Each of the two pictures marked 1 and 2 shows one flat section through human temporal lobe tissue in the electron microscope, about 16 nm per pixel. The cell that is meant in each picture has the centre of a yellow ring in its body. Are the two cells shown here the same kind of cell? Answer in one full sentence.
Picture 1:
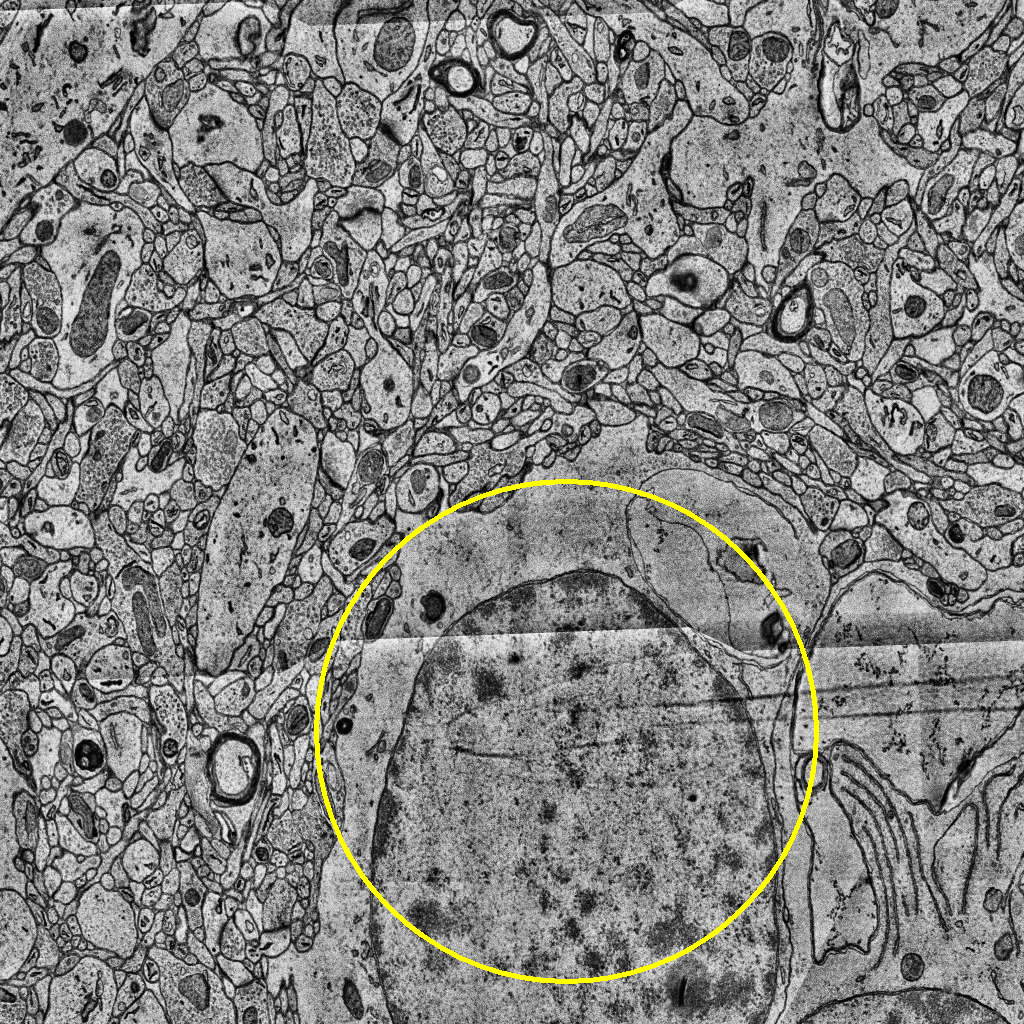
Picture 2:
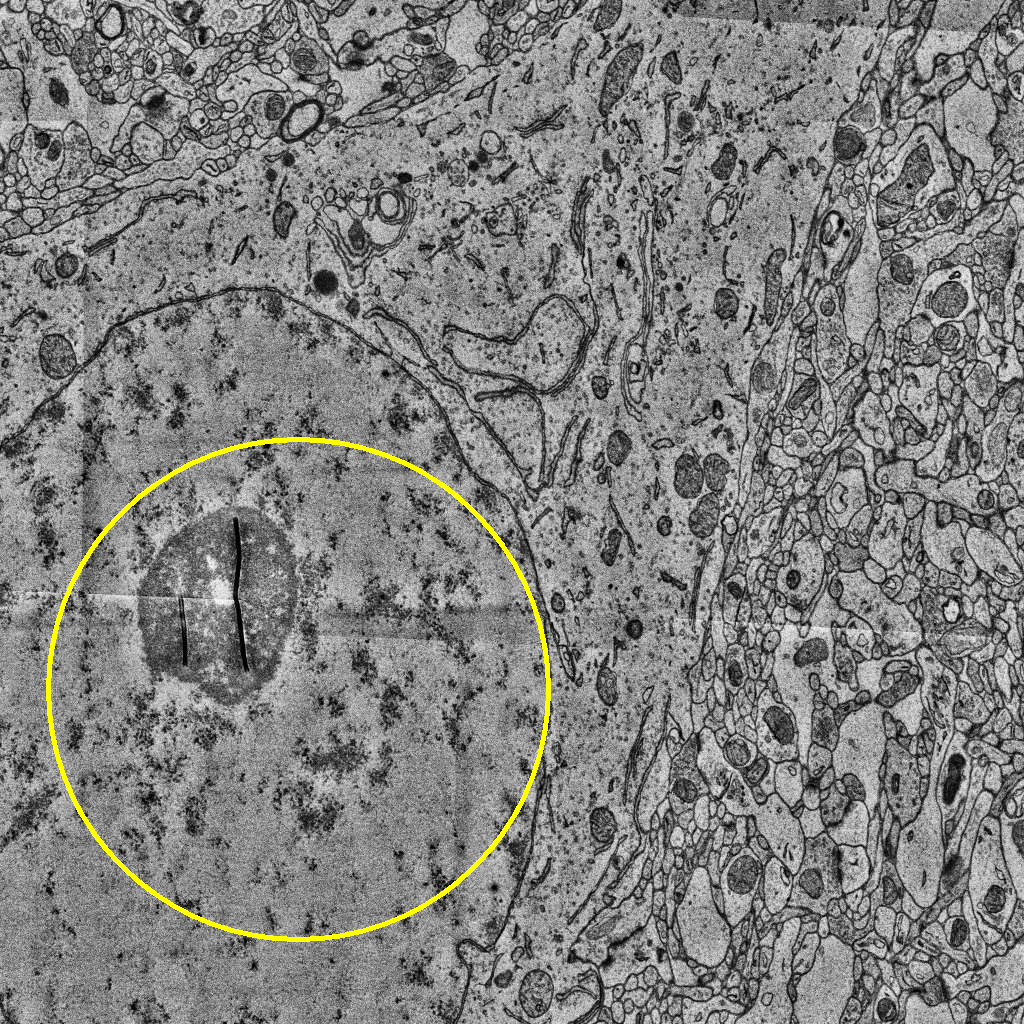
No. Picture 1 shows an astrocyte, but picture 2 shows a pyramidal neuron.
